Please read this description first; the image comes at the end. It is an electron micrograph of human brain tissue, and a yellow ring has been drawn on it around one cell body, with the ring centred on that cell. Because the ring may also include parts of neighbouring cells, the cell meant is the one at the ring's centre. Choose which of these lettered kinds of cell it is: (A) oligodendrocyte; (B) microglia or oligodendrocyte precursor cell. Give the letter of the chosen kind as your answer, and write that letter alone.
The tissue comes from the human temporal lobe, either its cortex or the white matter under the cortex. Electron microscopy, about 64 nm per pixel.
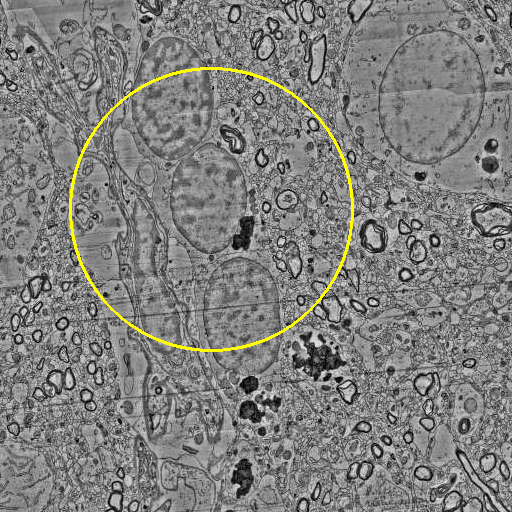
A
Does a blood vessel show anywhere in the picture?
Yes, one appears.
